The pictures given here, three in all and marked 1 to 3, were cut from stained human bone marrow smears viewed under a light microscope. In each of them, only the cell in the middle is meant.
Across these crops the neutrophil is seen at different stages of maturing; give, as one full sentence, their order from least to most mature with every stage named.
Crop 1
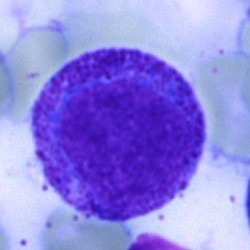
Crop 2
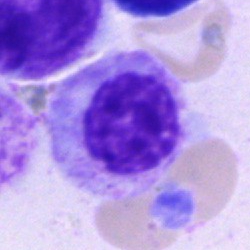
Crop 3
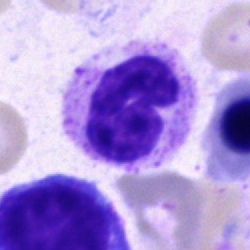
The order of maturity, beginning with the least mature, is crop 1 (a promyelocyte), crop 2 (a myelocyte) and crop 3 (a segmented neutrophil).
